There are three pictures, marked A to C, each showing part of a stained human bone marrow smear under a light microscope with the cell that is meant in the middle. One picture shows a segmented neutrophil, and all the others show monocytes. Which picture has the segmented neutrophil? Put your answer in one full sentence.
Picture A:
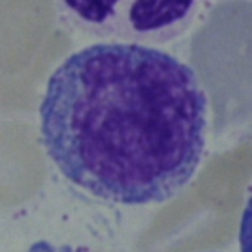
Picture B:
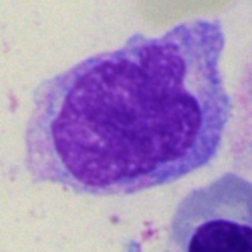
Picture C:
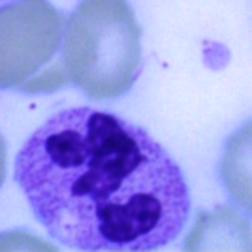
It is picture C that shows the segmented neutrophil.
